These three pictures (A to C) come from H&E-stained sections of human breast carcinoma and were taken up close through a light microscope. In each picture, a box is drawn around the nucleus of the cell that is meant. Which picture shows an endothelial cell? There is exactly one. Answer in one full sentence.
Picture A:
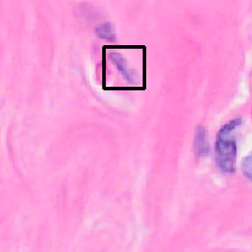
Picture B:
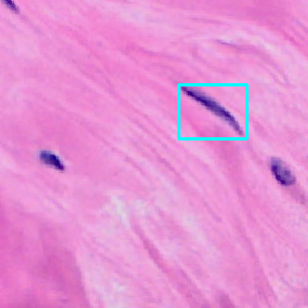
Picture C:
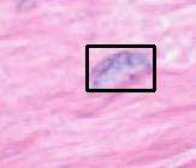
Picture A is the one that shows the endothelial cell.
